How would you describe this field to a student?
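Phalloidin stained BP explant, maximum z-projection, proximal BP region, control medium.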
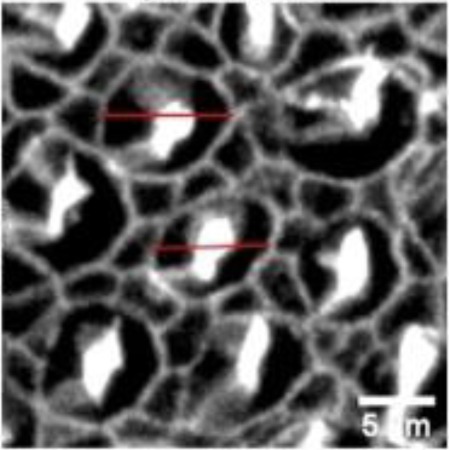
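This is a surface view of the sensory epithelium showing hair cells scattered in a mosaic among smaller surrounding cells. The cell borders are outlined by thin bright lines, giving a polygonal network. The hair cells have large, rounded apical surfaces that appear dark apart from a dense bright bundle on each, which is elongated or crescent-shaped. Each hair cell is encircled by a ring of smaller, irregular polygonal cells that lack such bright bundles. The hair cells are spaced apart rather than touching one another.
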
